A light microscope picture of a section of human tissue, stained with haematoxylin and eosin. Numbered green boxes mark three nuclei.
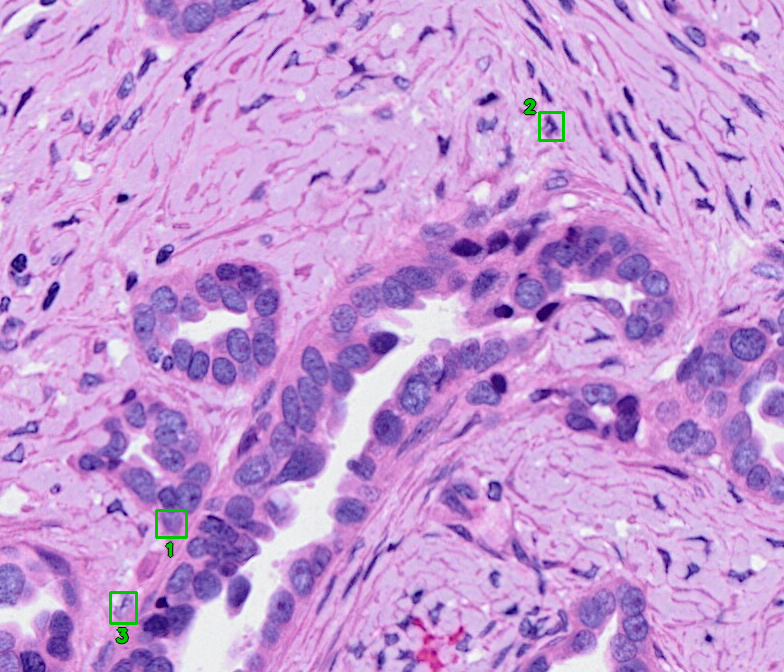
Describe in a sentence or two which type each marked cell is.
Cell 1 is a carcinoma cell. Cells 2 and 3 are fibroblasts.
